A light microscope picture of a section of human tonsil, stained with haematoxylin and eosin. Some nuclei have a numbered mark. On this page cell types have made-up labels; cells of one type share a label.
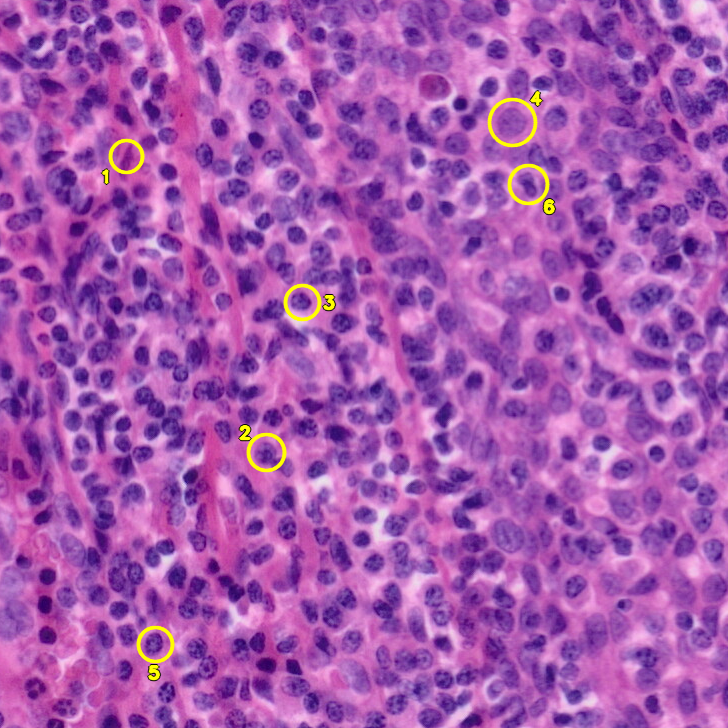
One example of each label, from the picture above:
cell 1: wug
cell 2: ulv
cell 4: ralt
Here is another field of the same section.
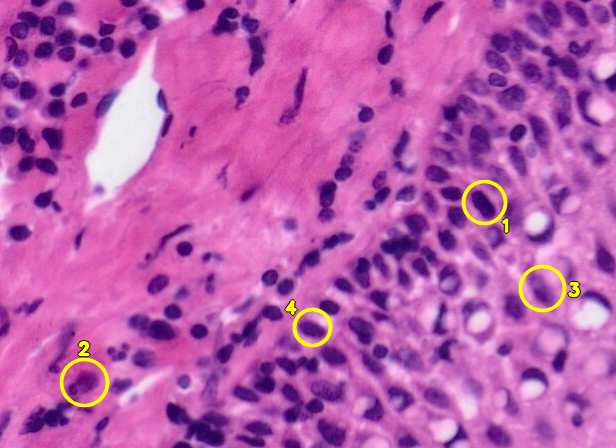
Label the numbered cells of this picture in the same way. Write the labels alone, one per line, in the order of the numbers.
ralt
wug
ralt
ralt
